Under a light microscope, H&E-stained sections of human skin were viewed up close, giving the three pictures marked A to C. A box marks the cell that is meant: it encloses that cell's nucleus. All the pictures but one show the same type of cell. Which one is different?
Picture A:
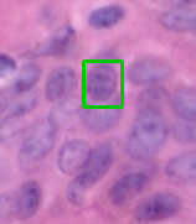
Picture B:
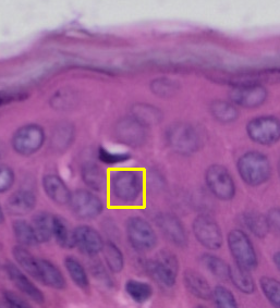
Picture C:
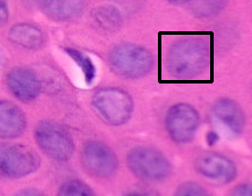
C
